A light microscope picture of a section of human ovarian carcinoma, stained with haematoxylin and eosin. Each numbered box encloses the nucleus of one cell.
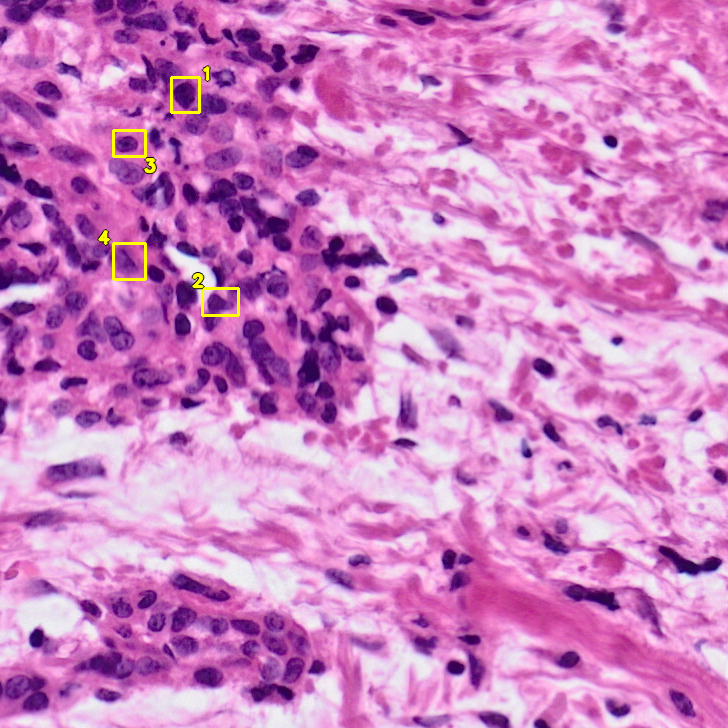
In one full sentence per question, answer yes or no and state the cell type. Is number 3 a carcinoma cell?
No, the one with number 3 is a macrophage or monocyte, not a carcinoma cell.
